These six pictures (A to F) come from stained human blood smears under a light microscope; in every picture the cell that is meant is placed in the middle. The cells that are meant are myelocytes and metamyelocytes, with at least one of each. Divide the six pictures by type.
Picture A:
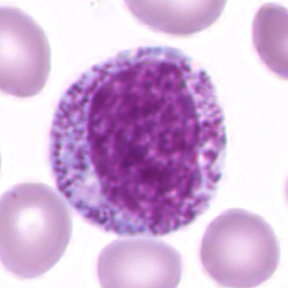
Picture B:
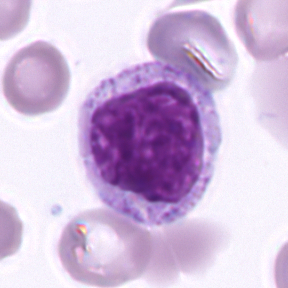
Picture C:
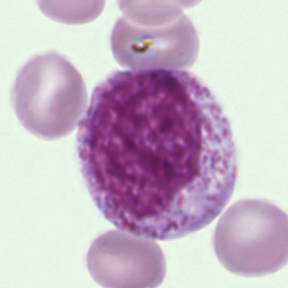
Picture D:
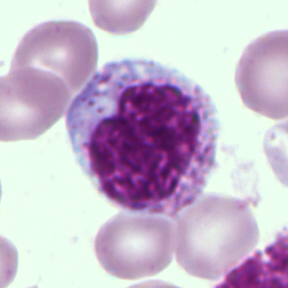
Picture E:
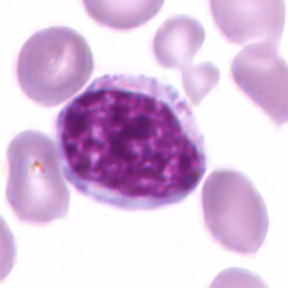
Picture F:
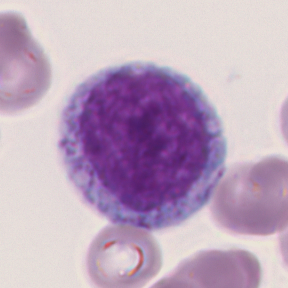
A: myelocyte
B: myelocyte
C: myelocyte
D: metamyelocyte
E: metamyelocyte
F: myelocyte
